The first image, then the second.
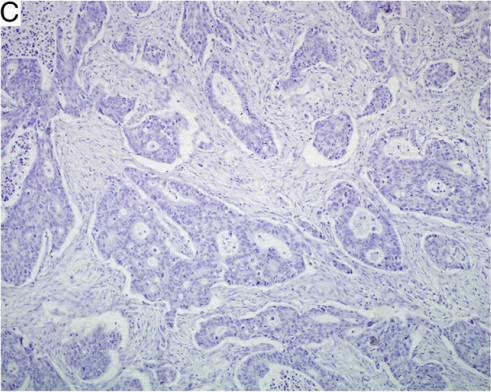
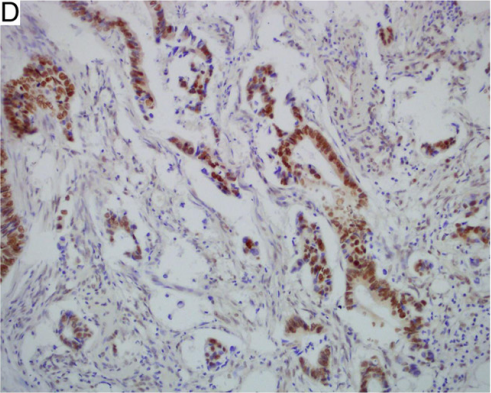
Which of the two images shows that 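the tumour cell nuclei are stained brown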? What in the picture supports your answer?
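The second image. Second image: tumour glands show dark brown nuclear staining. First image: tumour nests are blue only, without brown staining.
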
